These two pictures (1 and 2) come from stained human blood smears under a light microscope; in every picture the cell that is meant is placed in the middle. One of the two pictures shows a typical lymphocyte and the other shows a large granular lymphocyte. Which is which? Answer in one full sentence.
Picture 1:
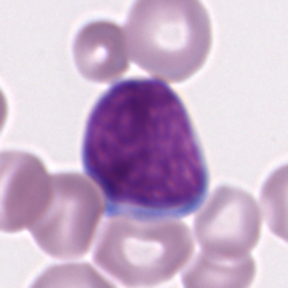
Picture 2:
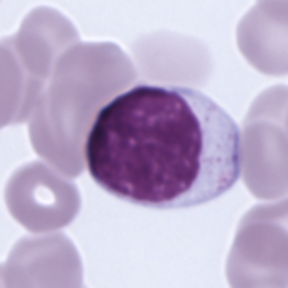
It is picture 1 that shows a typical lymphocyte, and picture 2 that shows a large granular lymphocyte.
